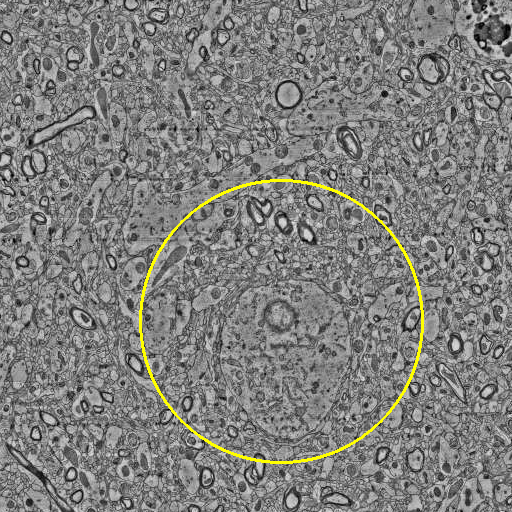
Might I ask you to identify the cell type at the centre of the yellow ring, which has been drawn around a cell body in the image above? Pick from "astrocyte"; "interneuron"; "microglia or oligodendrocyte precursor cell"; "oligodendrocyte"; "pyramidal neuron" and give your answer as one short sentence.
The centre of the ring falls on a pyramidal neuron.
